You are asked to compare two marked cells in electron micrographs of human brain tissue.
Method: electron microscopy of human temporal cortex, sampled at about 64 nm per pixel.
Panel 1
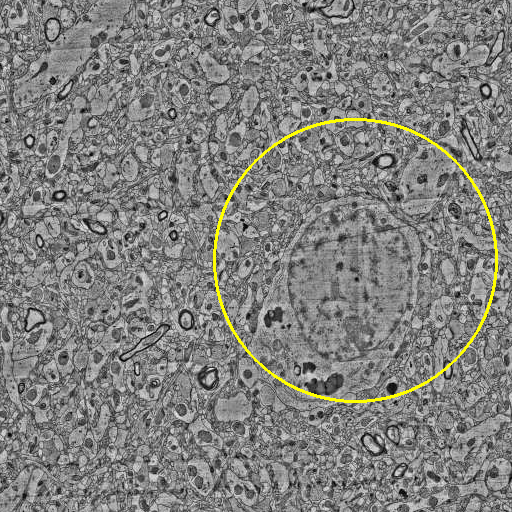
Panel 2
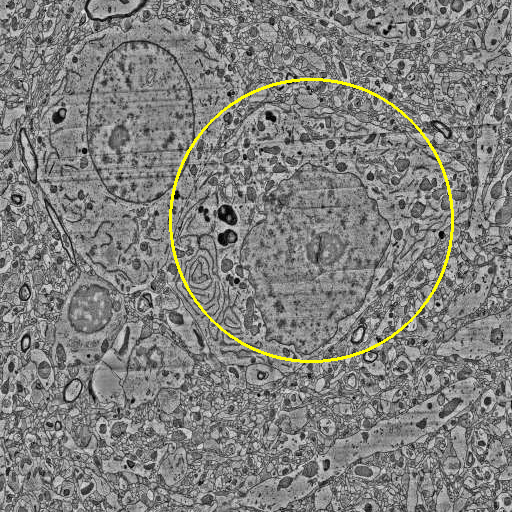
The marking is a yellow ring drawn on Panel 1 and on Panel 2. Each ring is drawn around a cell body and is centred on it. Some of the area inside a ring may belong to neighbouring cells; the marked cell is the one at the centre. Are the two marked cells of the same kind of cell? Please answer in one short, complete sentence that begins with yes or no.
Yes, the two marked cells are of the same kind.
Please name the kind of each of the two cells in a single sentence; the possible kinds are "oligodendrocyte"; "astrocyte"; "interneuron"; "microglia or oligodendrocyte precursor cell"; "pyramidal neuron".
Each one of the two ringed cells is an interneuron.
